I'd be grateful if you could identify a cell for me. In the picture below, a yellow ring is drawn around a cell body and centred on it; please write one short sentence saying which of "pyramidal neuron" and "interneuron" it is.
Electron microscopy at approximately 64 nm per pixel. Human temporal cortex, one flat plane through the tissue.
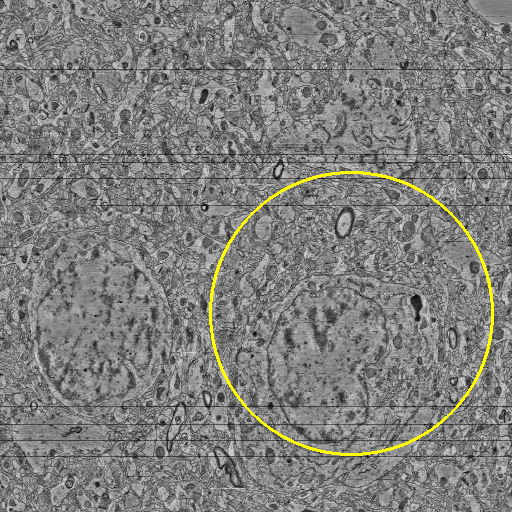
The cell under the ring's centre is an interneuron.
